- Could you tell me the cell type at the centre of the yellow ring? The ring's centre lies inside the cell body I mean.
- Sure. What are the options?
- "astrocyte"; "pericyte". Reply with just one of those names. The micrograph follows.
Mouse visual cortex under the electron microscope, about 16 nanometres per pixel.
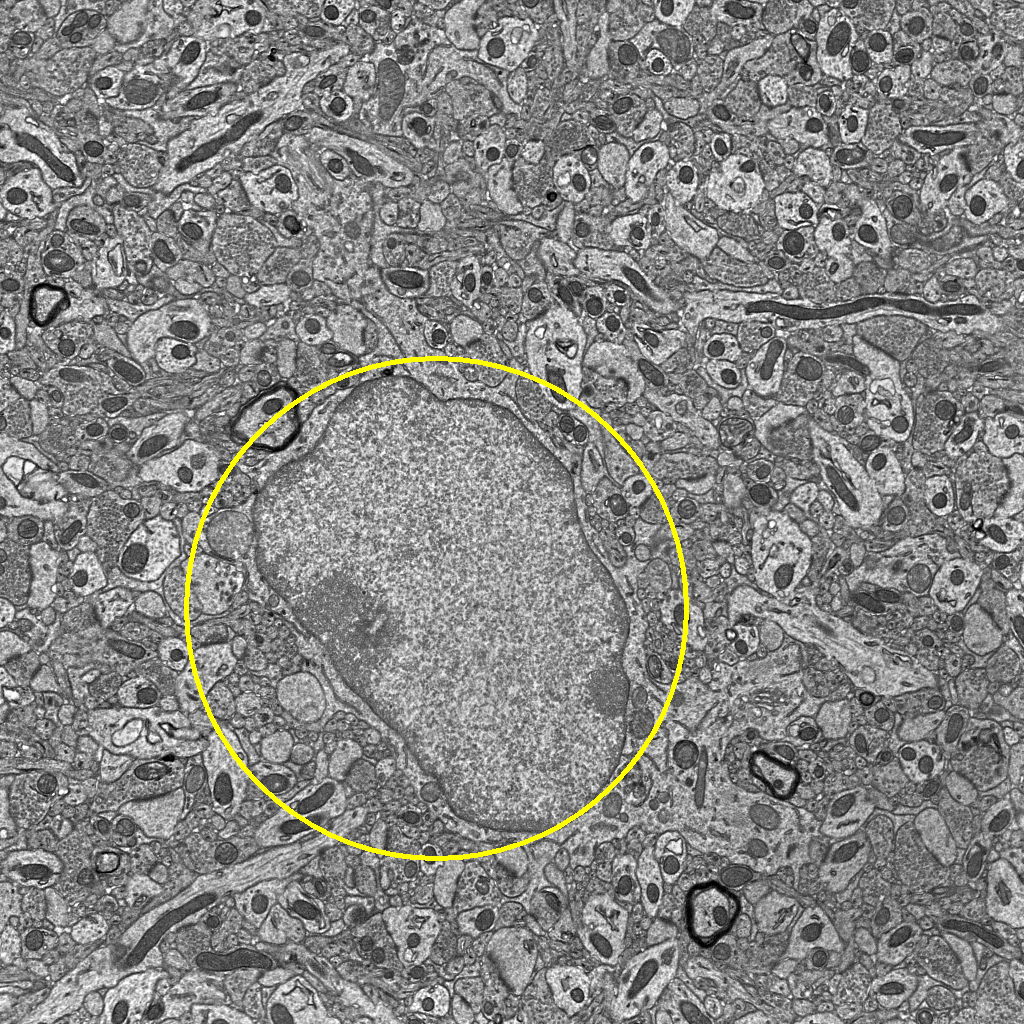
astrocyte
